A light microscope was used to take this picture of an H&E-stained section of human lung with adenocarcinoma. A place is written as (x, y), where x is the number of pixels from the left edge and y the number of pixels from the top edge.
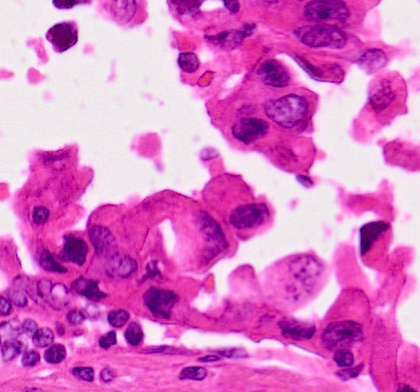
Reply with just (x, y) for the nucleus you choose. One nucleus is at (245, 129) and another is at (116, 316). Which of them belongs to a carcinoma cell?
(245, 129)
